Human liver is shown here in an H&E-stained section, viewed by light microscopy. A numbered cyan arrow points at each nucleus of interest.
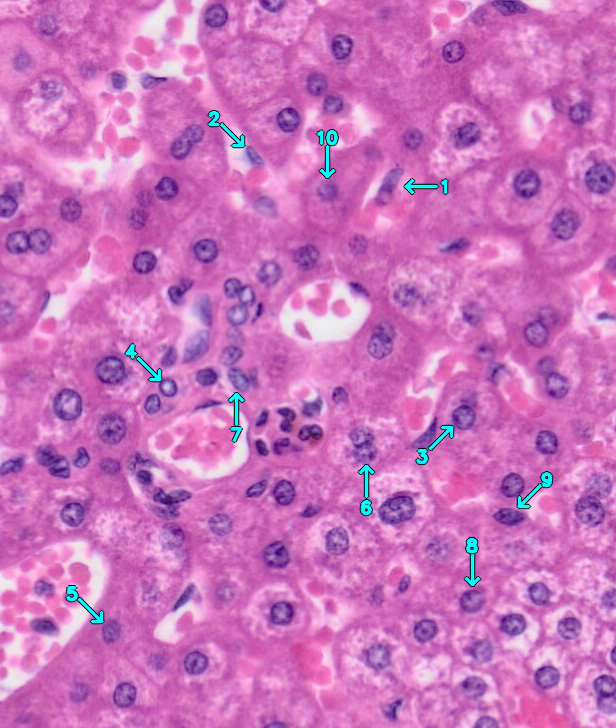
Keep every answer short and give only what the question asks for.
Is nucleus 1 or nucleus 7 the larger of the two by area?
1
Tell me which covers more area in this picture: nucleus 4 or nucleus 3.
3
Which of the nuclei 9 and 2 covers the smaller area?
2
